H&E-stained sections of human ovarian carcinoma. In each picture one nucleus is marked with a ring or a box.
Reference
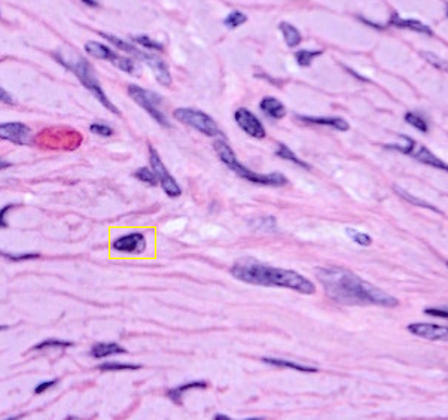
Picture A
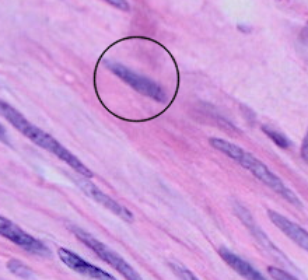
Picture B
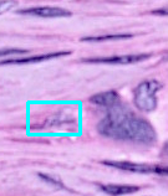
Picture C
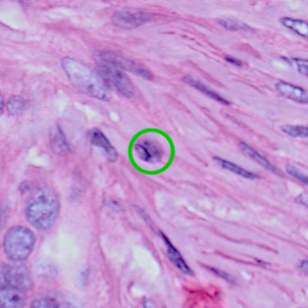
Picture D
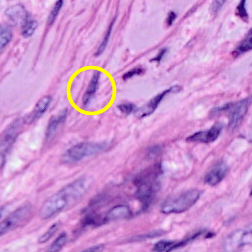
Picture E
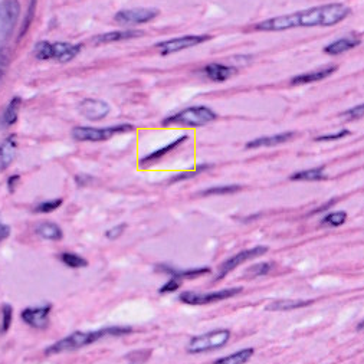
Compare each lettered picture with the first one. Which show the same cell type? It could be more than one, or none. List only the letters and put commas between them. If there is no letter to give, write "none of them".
C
